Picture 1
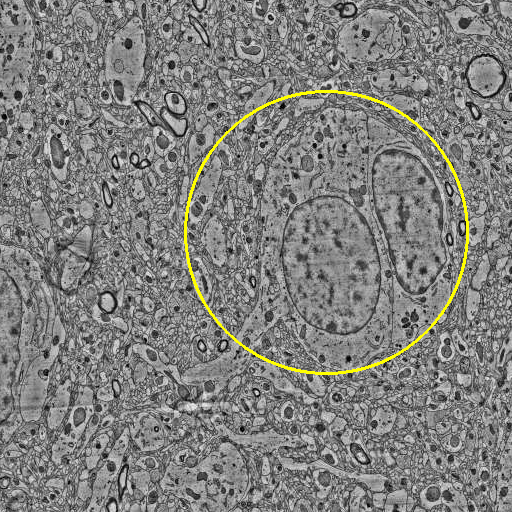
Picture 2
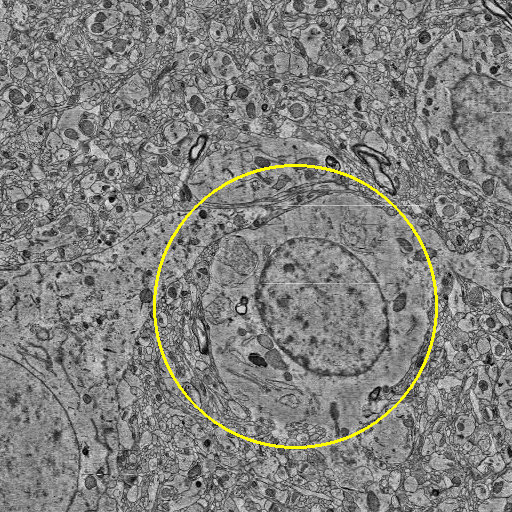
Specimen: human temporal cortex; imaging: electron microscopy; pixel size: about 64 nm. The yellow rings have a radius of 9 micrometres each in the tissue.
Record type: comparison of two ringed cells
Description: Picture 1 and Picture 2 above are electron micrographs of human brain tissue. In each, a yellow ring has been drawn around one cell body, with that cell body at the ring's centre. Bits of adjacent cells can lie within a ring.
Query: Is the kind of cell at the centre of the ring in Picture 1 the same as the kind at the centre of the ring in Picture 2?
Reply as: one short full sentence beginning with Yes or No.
No, the two ringed cells are of two separate kinds.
